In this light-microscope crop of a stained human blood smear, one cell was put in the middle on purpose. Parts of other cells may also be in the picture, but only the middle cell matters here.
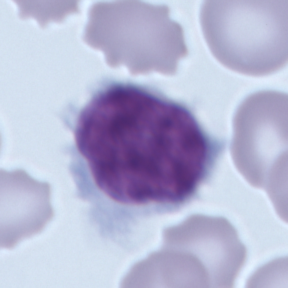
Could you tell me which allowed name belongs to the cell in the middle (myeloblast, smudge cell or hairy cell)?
hairy cell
